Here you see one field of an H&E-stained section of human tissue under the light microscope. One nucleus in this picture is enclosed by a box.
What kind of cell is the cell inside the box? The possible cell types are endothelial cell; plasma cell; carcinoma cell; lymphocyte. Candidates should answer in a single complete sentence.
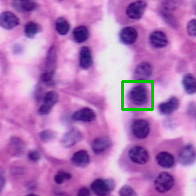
The cell type represented by the cell inside the box is that of a plasma cell.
